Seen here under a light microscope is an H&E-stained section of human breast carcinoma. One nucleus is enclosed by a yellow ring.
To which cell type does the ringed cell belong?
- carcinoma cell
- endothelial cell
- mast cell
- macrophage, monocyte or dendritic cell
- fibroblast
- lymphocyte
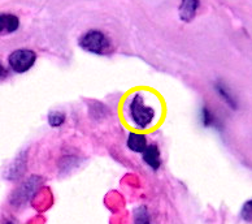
lymphocyte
